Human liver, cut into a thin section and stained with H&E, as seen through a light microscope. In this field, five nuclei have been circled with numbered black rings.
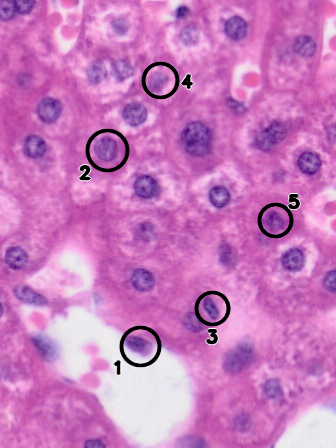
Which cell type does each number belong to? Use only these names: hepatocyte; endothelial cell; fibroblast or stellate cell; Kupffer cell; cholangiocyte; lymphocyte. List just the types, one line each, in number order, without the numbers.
Kupffer cell
hepatocyte
fibroblast or stellate cell
hepatocyte
hepatocyte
